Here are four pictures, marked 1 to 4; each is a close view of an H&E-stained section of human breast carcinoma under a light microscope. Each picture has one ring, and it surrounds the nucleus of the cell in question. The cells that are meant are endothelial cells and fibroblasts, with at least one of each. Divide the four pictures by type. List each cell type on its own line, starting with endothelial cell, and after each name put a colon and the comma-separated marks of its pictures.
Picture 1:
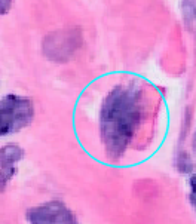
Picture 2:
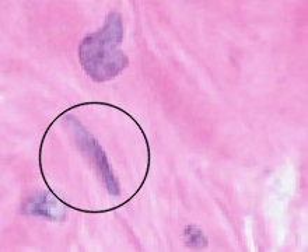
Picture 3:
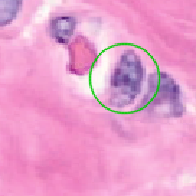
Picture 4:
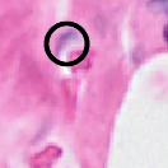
endothelial cell: 1, 3, 4
fibroblast: 2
